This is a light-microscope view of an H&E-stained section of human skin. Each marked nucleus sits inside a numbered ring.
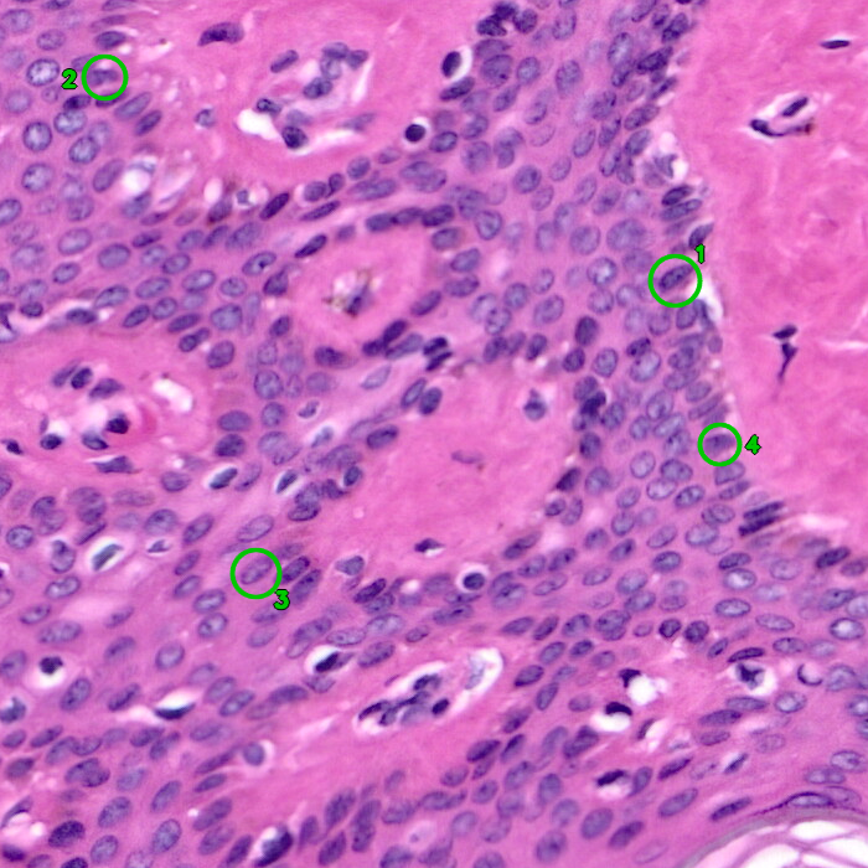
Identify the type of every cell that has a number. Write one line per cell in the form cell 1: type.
cell 1: basal keratinocyte
cell 2: basal keratinocyte
cell 3: suprabasal keratinocyte
cell 4: basal keratinocyte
